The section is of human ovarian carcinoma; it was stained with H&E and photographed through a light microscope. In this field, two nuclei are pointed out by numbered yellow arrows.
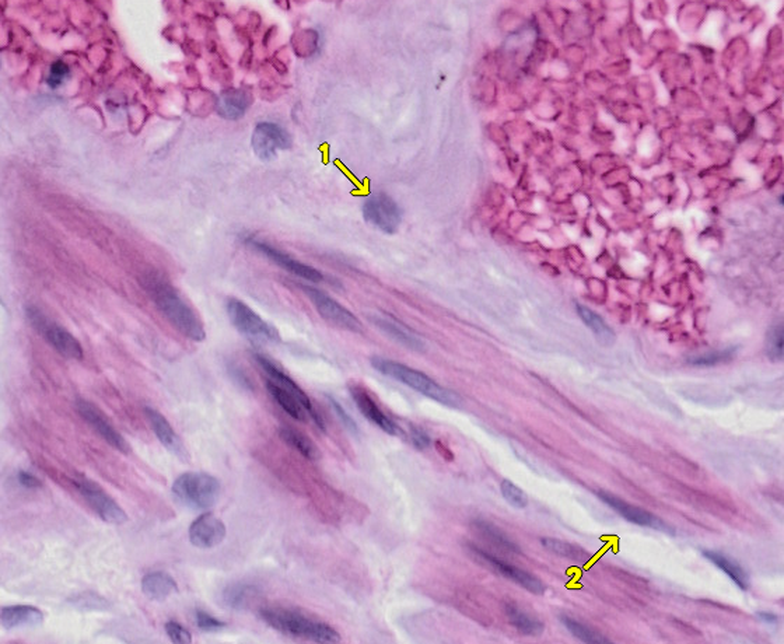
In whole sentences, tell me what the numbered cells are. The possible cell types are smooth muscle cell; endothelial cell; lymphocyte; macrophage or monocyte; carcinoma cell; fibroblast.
Cell 1 is a fibroblast. Cell 2 is a smooth muscle cell.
